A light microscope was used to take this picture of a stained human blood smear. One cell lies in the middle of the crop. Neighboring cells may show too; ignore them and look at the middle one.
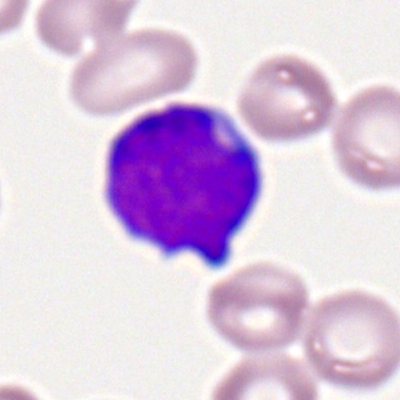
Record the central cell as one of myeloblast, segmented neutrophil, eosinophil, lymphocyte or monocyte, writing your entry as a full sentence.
The middle cell in this particular crop is a myeloblast.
